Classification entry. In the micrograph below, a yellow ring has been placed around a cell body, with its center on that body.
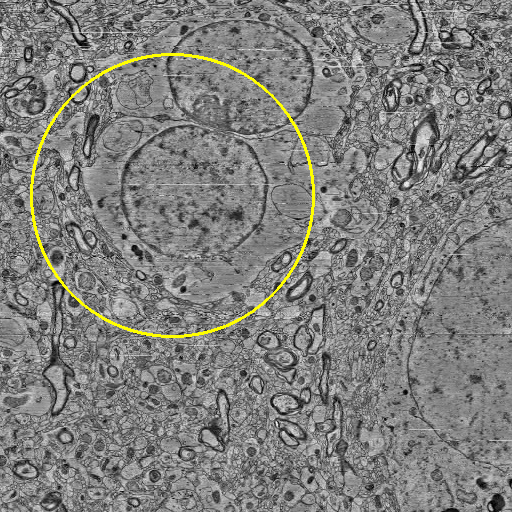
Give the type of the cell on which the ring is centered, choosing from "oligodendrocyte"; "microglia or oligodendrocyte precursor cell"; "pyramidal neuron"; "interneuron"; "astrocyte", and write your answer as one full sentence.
The cell body at the center of the yellow ring belongs to an astrocyte.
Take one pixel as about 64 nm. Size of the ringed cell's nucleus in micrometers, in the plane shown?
In this plane, the nucleus measures approximately 9 micrometres across.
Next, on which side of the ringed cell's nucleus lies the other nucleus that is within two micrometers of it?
That other nucleus sits to the upper right of it.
